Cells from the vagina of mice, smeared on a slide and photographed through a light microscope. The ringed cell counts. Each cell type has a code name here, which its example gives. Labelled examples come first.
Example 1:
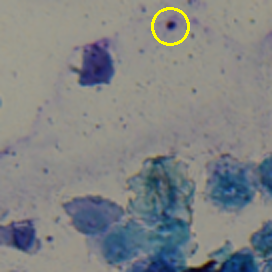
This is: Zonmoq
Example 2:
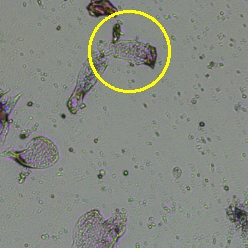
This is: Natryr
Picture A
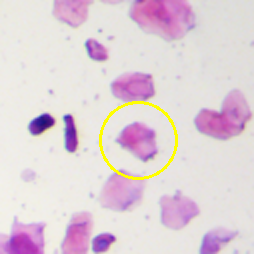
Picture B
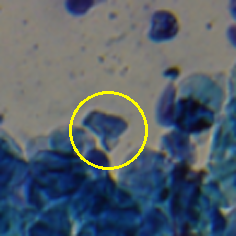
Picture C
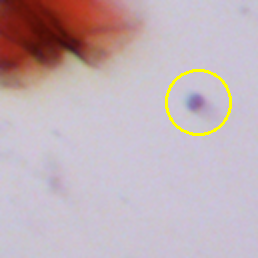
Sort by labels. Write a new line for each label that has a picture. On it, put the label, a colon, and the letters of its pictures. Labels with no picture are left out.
Zonmoq: C
Natryr: A, B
